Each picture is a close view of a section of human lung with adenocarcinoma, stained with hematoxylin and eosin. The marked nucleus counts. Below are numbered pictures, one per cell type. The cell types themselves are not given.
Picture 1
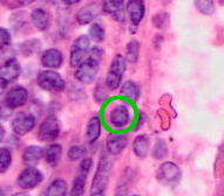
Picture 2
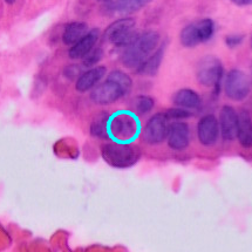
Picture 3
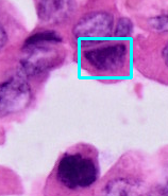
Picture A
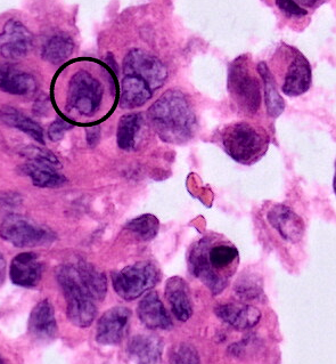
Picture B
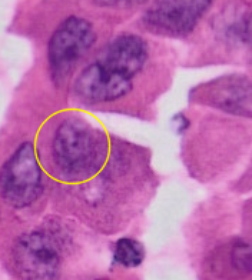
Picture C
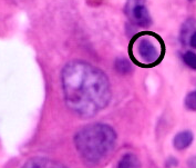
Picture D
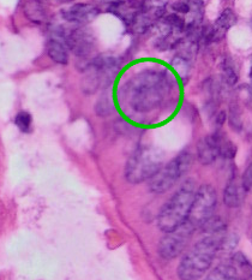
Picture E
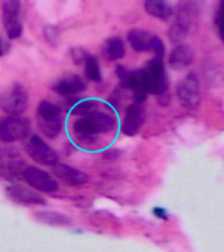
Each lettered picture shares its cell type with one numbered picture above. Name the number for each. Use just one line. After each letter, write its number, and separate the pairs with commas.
A 3, B 3, C 1, D 2, E 2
